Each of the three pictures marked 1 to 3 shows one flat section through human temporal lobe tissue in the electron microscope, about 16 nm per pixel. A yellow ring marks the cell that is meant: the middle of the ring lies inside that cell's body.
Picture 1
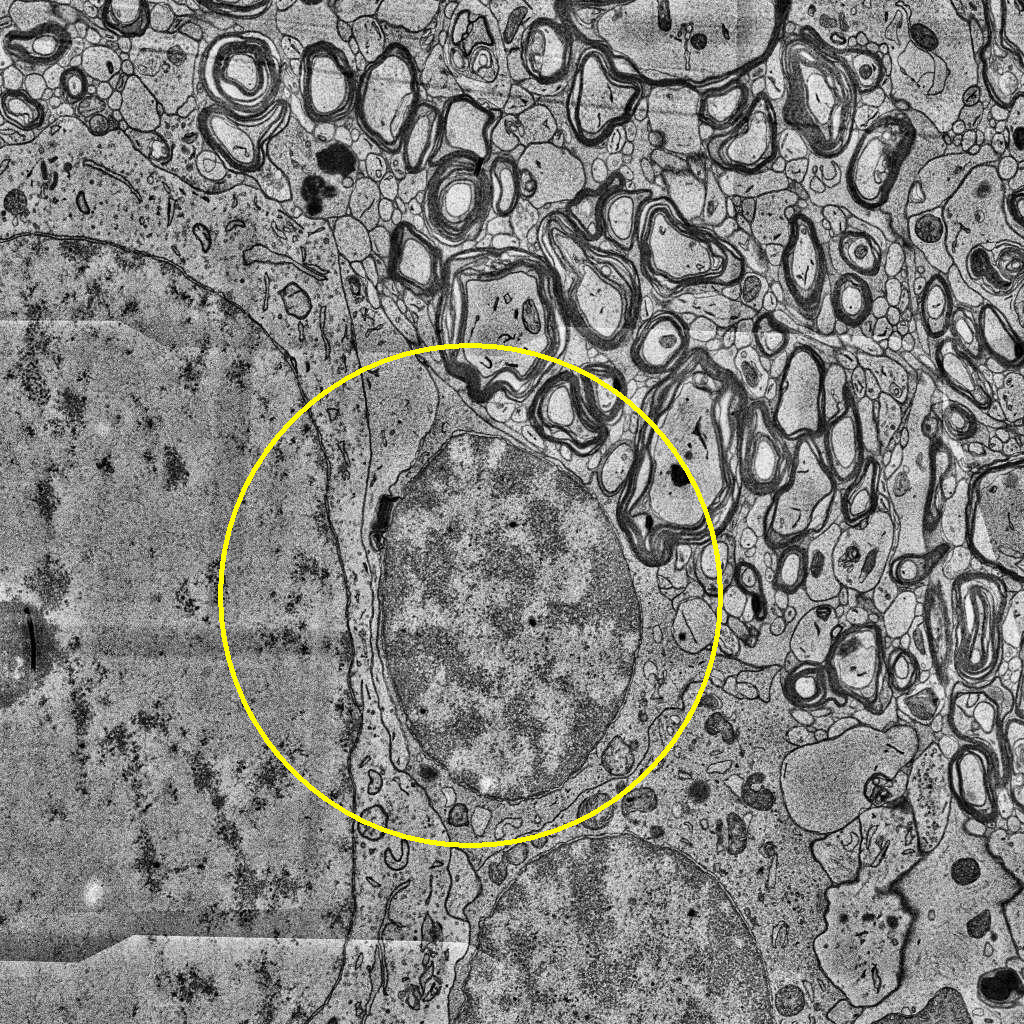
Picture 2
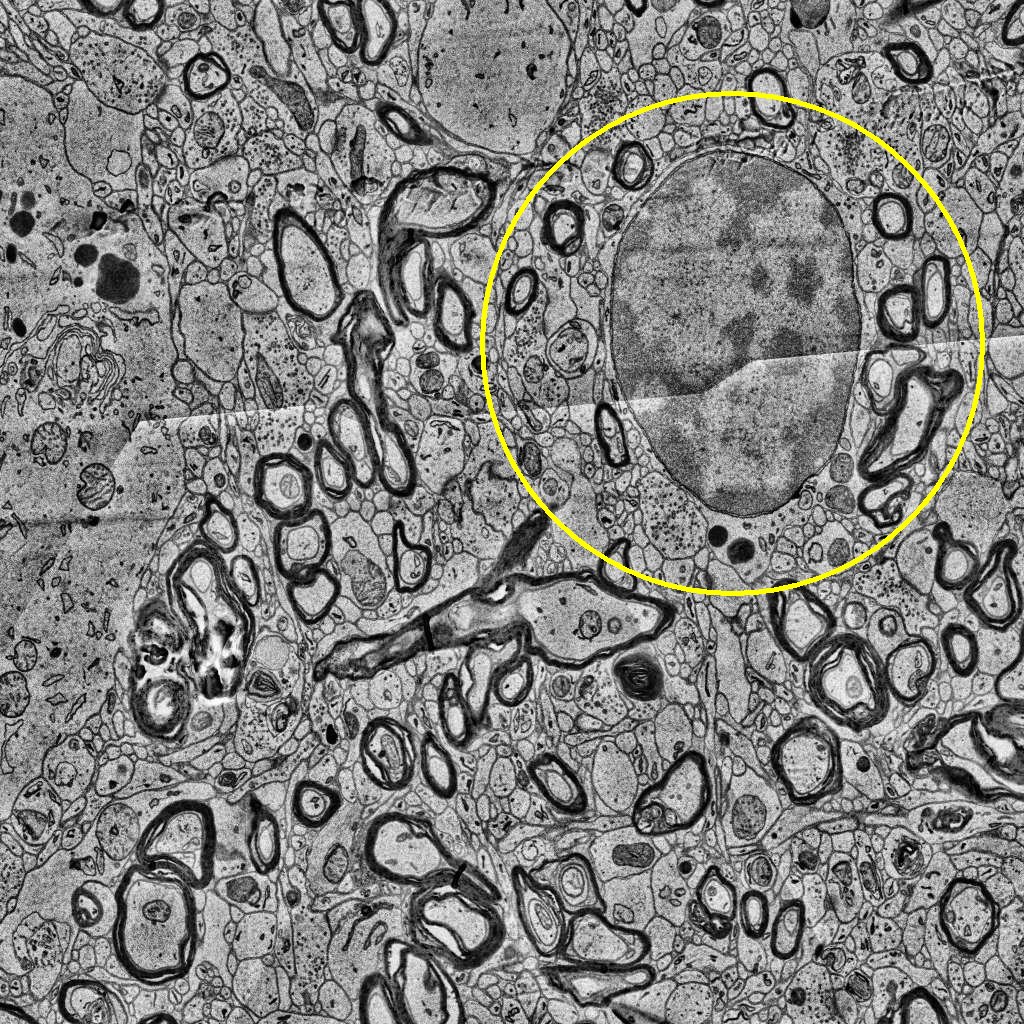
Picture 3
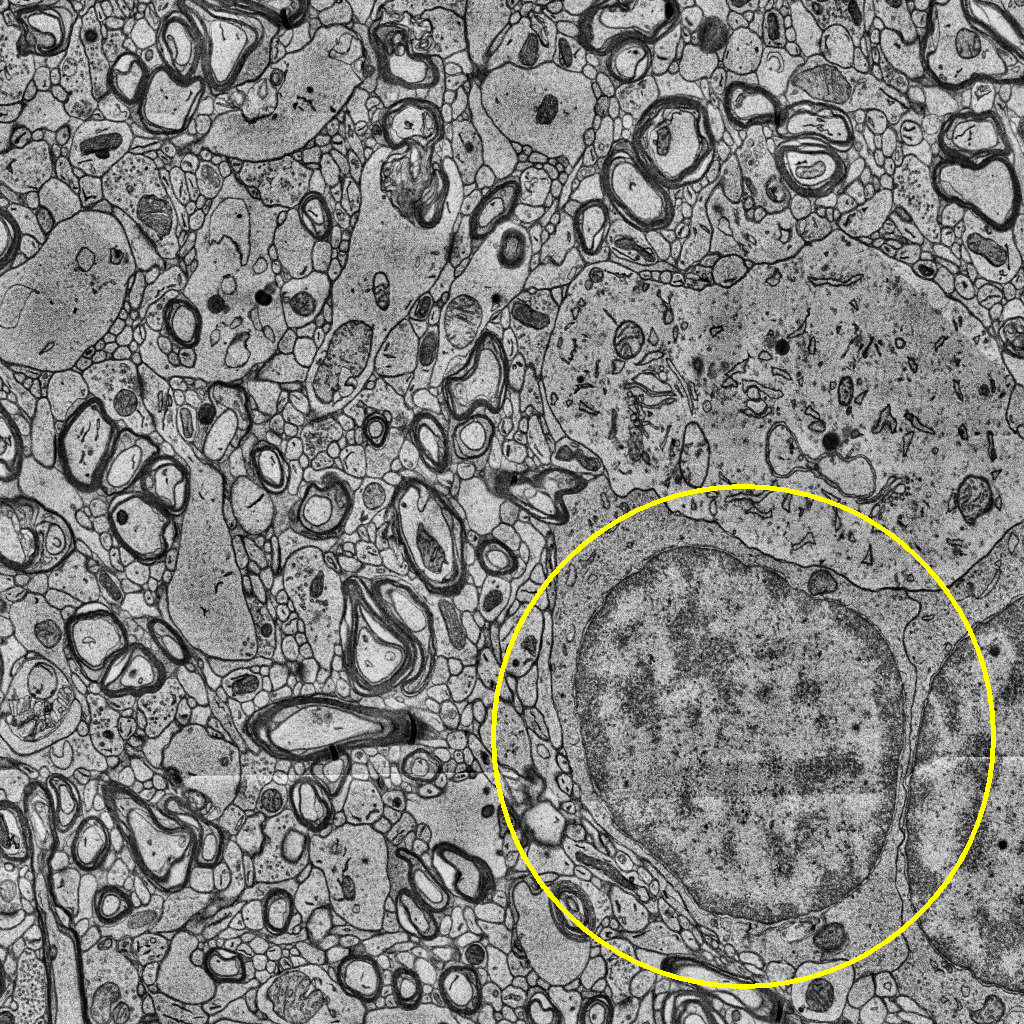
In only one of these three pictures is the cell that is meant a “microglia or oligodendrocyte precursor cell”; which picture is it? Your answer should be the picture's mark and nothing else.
2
